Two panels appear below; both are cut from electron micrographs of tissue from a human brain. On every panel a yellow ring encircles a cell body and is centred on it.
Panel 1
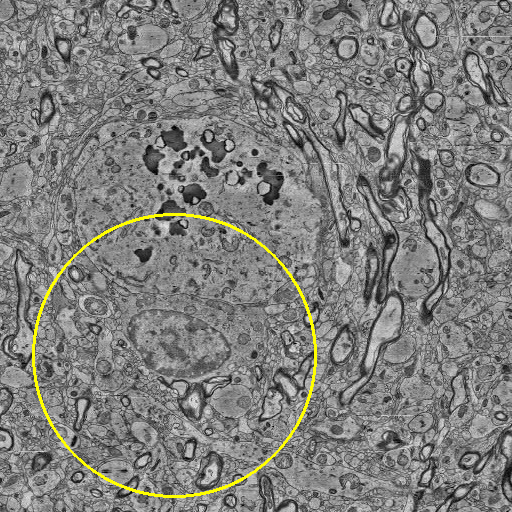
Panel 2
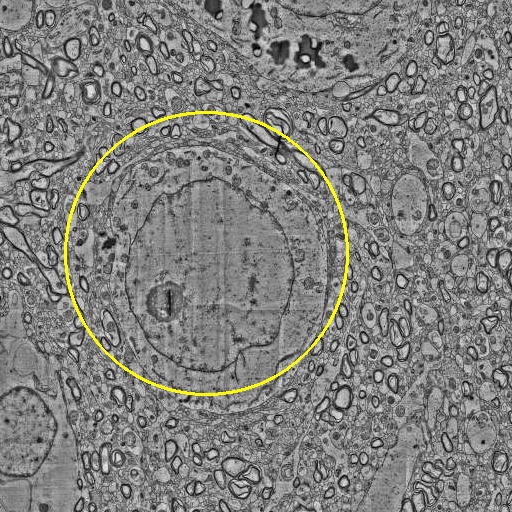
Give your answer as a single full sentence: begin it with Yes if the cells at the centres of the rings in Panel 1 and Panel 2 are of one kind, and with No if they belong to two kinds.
No, the cells in the middle of the rings in Panels 1 and 2 are of two kinds.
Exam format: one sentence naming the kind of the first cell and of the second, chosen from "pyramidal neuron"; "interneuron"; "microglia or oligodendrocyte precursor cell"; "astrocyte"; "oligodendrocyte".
The first picture's cell is an oligodendrocyte, and the second picture's cell is a pyramidal neuron.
